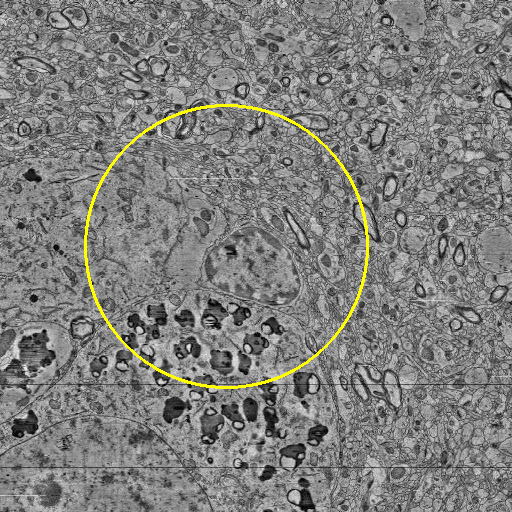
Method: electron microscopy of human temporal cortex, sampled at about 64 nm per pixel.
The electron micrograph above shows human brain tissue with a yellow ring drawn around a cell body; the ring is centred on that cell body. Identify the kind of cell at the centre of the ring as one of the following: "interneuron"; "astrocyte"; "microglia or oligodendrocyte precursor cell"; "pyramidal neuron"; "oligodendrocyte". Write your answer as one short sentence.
The cell at the centre of the ring is a microglial cell or oligodendrocyte precursor cell.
